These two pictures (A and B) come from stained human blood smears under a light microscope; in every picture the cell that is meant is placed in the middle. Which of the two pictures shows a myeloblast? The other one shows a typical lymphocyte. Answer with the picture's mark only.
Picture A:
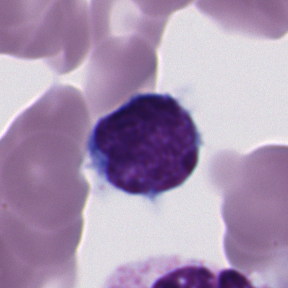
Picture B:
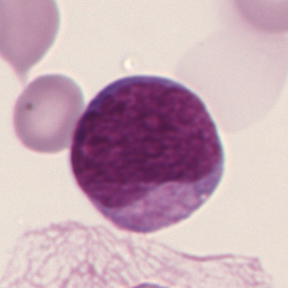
B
